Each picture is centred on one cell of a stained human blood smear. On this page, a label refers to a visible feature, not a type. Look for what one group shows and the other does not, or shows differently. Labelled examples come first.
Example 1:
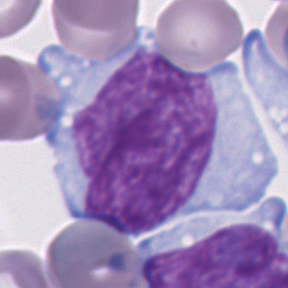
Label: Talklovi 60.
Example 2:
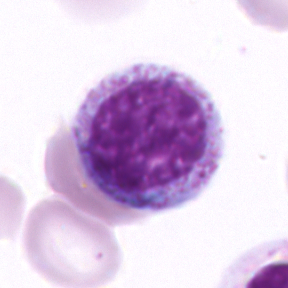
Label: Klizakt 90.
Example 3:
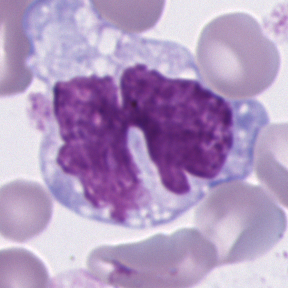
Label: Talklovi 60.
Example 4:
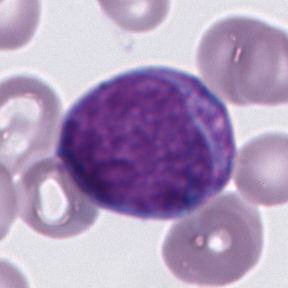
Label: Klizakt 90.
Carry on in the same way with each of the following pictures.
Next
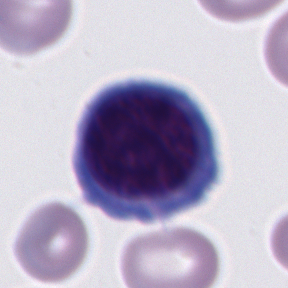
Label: Klizakt 90.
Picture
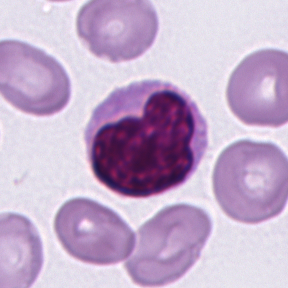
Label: Klizakt 90.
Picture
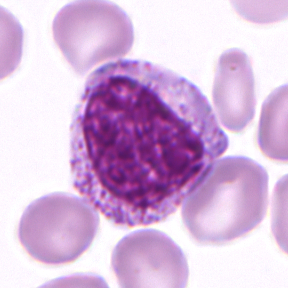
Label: Klizakt 90.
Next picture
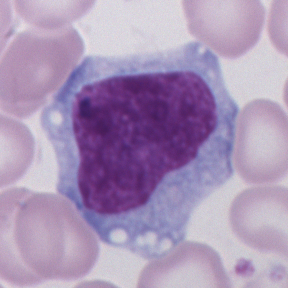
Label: Talklovi 60.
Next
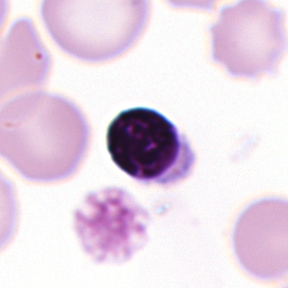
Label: Klizakt 90.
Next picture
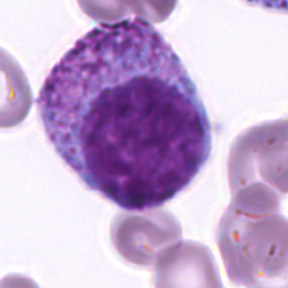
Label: Talklovi 60.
